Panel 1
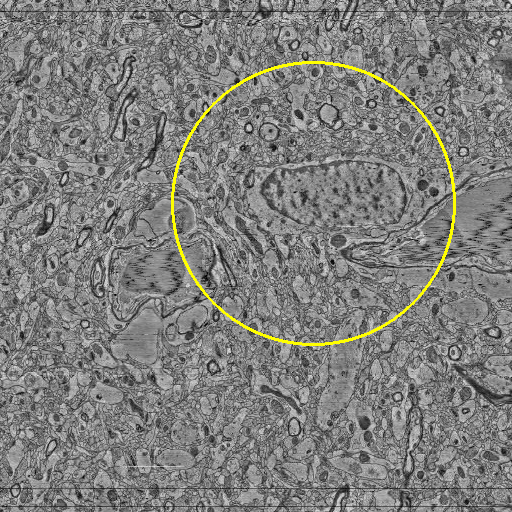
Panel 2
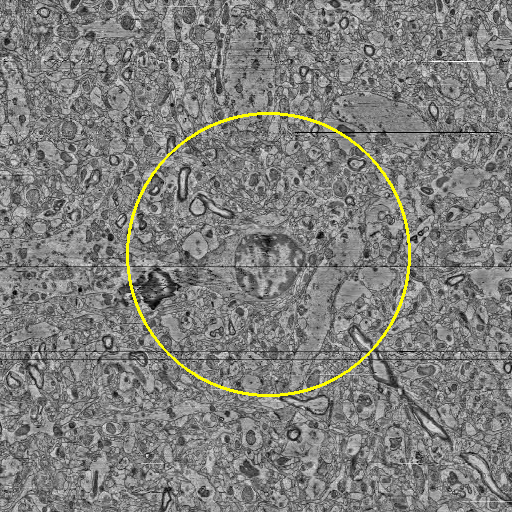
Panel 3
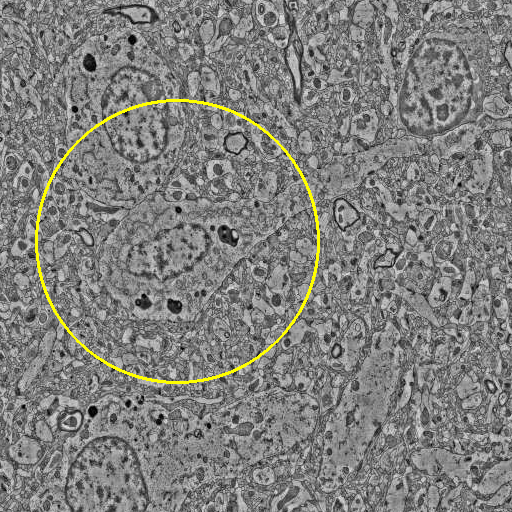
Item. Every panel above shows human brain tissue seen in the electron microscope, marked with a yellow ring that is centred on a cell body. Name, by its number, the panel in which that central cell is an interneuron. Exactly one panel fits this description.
3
